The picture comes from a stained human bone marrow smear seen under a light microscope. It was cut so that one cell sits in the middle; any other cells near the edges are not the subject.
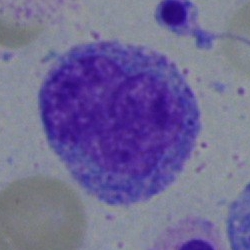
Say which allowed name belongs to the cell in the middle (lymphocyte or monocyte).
monocyte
